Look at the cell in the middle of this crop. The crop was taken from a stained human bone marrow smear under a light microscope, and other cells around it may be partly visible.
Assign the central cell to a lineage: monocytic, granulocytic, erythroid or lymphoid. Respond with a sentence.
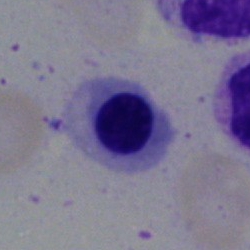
Lineage of the cell at the center of this crop: erythroid.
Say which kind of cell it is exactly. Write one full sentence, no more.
At the center of the crop sits an erythroblast.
